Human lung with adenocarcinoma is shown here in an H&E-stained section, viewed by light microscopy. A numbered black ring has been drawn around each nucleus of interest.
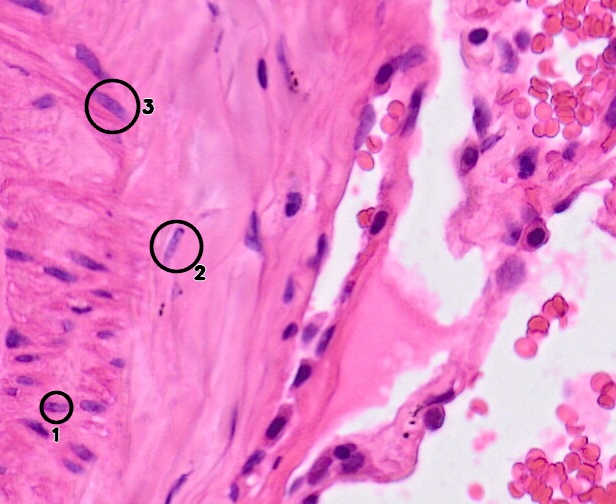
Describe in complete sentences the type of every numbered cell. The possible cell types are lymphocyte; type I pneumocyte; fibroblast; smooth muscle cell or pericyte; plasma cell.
Cells 1 and 3 are smooth muscle cells or pericytes. Cell 2 is a fibroblast.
